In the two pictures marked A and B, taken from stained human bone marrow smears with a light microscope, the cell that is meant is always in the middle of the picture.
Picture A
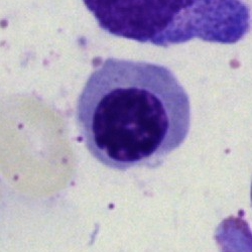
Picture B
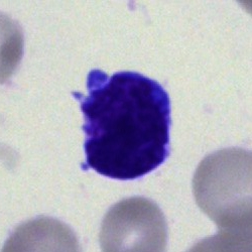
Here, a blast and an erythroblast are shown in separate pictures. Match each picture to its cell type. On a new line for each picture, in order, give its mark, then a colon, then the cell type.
A: erythroblast
B: blast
